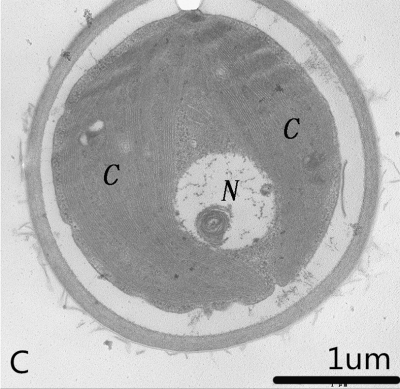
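A single rounded microalgal cell is seen in thin section, largely filled by its chloroplast around a central nucleus. The chloroplast material shows many fine, parallel stacked membranes that curve around the cell. Near the centre lies a pale, rounded nuclear region that holds a small, dense, ringed body. A few small light vesicles are scattered in the cytoplasm.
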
